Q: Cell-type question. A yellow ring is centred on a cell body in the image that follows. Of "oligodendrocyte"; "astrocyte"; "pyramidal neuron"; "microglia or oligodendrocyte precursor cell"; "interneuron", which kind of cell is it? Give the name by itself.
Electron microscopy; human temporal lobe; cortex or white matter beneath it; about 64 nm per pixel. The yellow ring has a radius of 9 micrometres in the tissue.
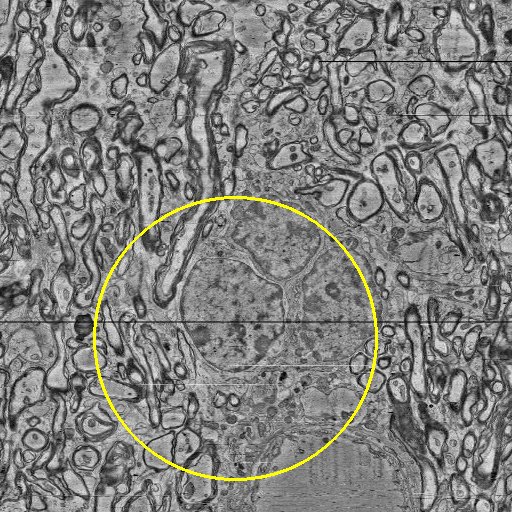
microglia or oligodendrocyte precursor cell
